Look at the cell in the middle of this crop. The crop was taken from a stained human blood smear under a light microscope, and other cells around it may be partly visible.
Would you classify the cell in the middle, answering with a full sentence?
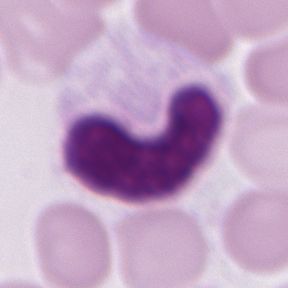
Centrally within this crop lies a band neutrophil.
